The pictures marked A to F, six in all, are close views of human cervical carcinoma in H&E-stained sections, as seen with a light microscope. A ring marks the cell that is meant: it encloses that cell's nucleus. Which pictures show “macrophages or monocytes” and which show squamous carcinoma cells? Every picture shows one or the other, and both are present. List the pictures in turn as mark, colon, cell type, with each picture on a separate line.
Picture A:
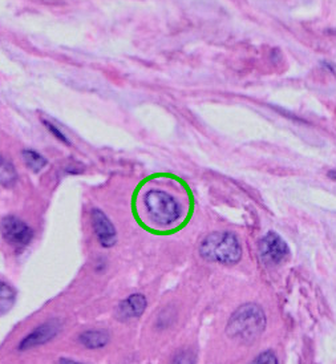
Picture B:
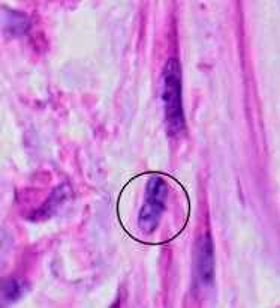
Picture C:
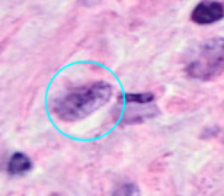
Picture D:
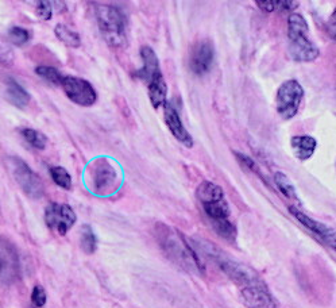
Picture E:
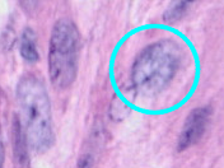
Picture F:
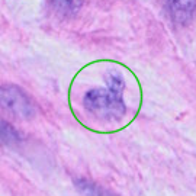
A: squamous carcinoma cell
B: macrophage or monocyte
C: macrophage or monocyte
D: macrophage or monocyte
E: squamous carcinoma cell
F: macrophage or monocyte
